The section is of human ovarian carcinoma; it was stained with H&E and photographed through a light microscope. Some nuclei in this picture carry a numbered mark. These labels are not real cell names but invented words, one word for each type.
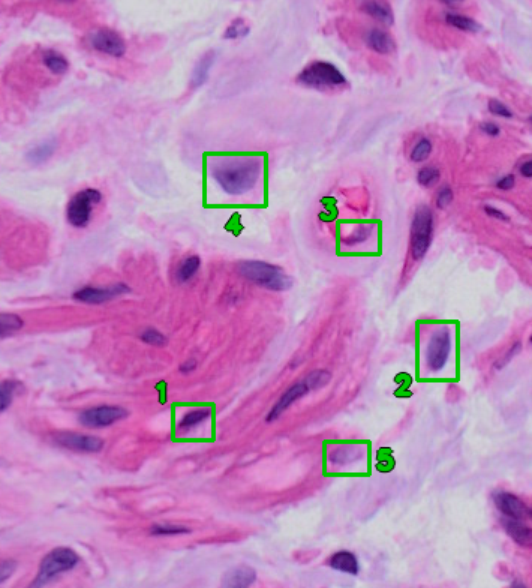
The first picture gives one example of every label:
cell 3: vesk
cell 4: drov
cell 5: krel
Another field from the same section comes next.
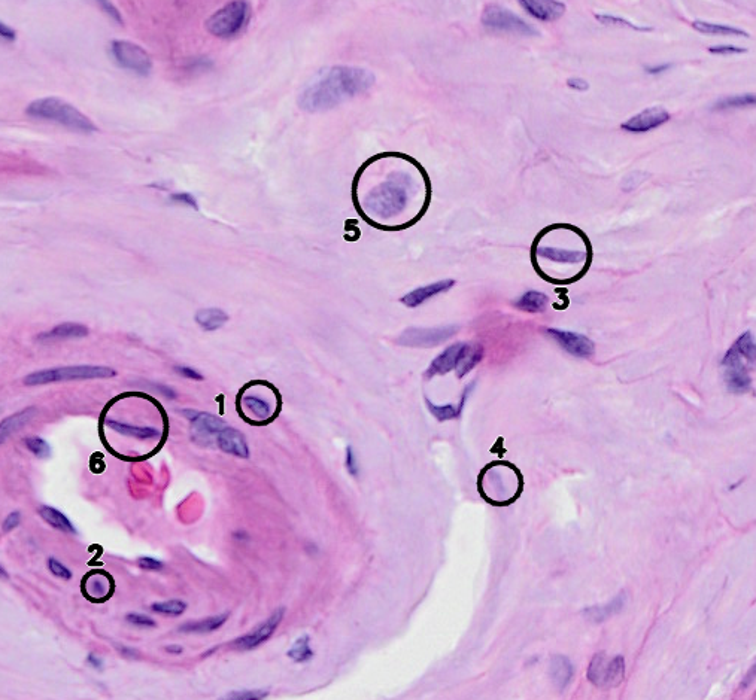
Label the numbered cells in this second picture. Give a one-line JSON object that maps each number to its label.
{"1": "krel", "2": "krel", "3": "drov", "4": "drov", "5": "drov", "6": "vesk"}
